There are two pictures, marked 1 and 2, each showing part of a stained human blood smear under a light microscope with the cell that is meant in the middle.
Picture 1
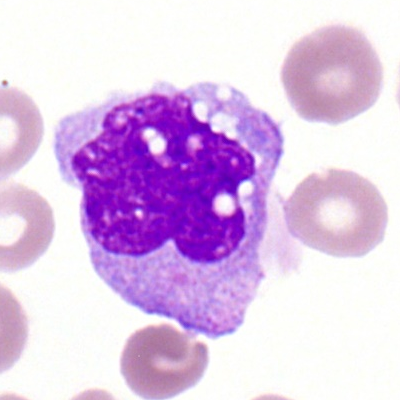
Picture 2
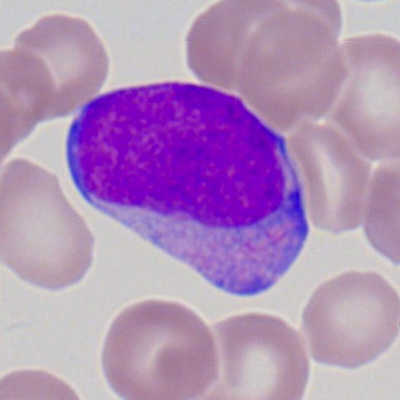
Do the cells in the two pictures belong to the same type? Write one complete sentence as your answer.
No, they differ: the cell is a monocyte in picture 1 and a myeloblast in picture 2.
